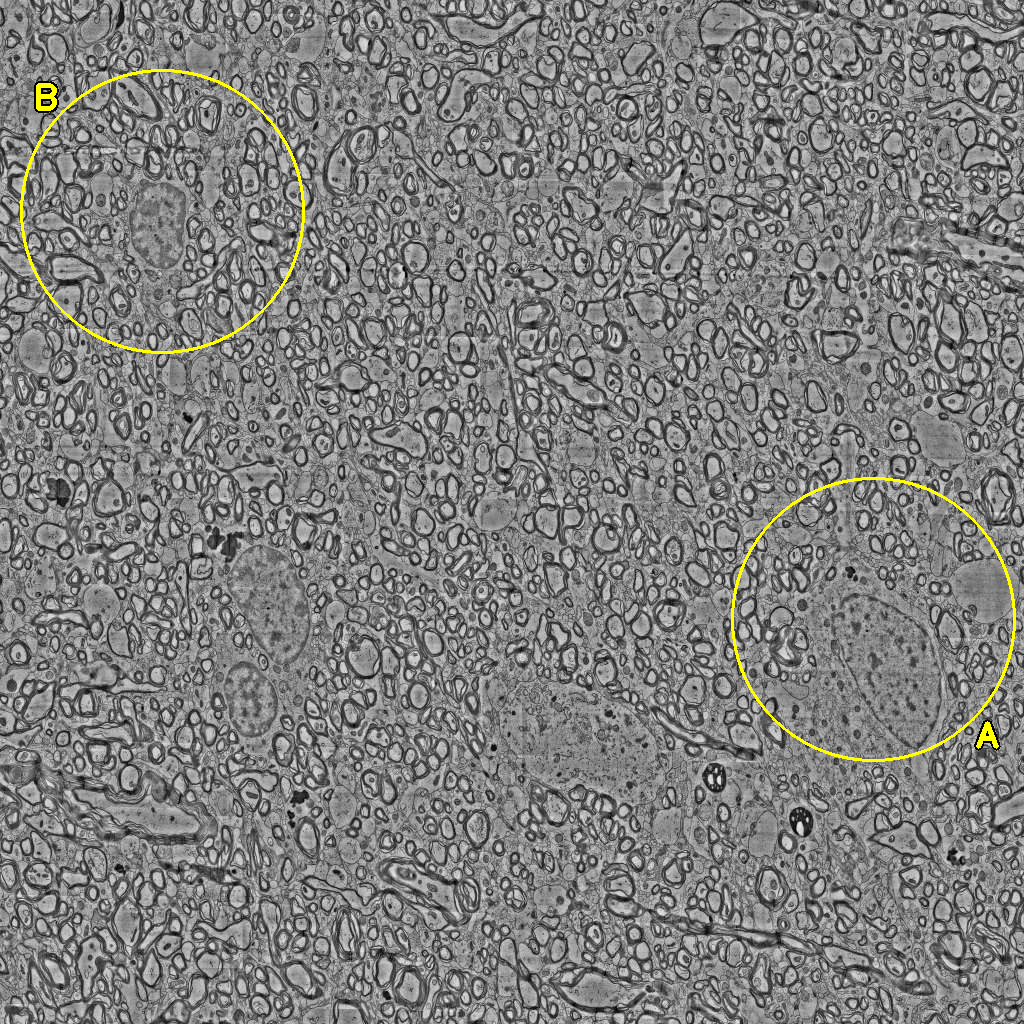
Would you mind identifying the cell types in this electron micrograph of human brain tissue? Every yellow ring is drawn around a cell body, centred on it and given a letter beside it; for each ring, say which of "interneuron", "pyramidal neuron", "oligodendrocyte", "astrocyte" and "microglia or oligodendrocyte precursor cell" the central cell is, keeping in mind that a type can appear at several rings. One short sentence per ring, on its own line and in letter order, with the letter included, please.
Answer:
At the centre of ring A lies an astrocyte.
At the centre of ring B lies an oligodendrocyte.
